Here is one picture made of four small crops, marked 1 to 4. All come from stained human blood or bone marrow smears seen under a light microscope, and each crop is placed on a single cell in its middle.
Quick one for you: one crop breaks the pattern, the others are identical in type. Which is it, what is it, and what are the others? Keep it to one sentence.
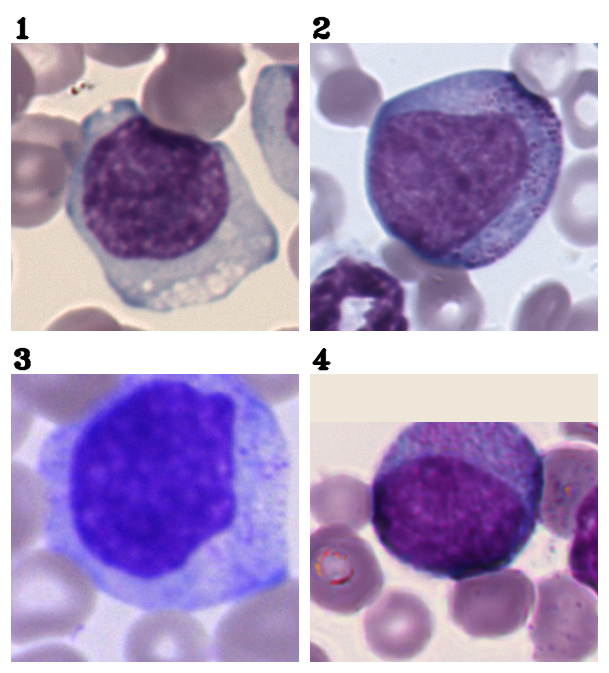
There is a blast in crop 1, while all the other crops show promyelocytes.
